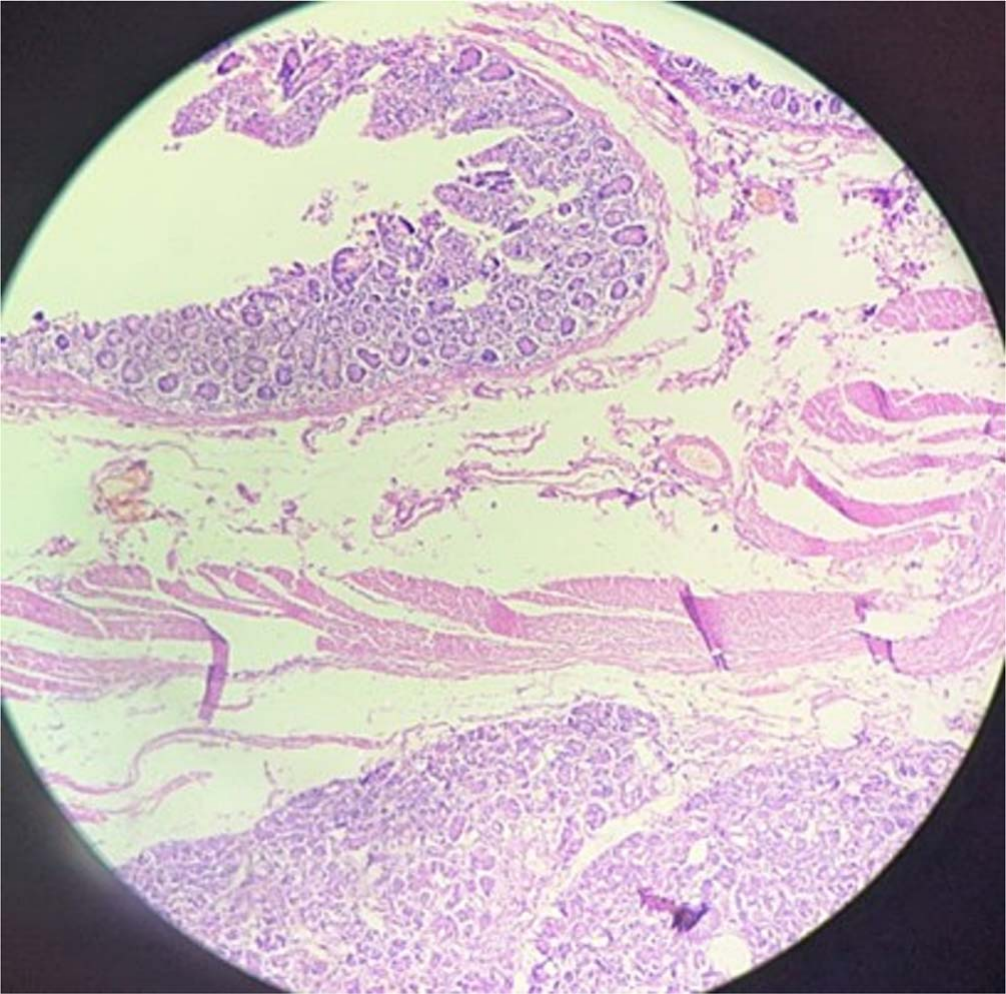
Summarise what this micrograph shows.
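This low-power section through a gut wall shows a mucosal layer of closely set round glands at the top. Below it lies loose, pale connective tissue with a few small vessels. Across the middle run bands of pink smooth muscle, cut both lengthwise and across.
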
